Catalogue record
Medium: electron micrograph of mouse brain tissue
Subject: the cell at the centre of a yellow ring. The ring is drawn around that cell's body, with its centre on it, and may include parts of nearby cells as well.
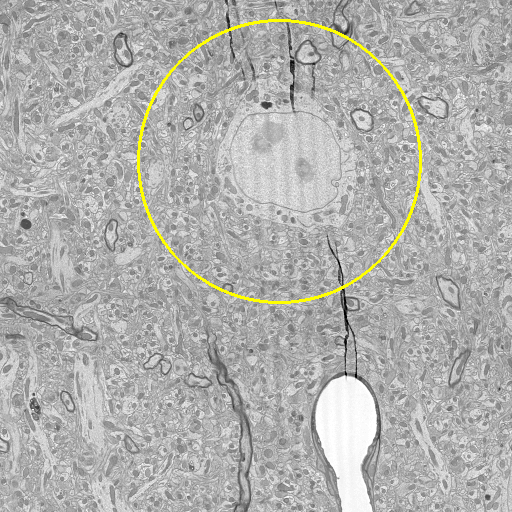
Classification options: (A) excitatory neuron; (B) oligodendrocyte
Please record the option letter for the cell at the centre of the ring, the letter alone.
A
